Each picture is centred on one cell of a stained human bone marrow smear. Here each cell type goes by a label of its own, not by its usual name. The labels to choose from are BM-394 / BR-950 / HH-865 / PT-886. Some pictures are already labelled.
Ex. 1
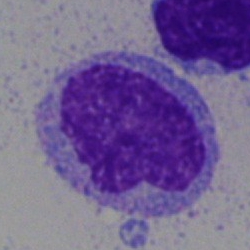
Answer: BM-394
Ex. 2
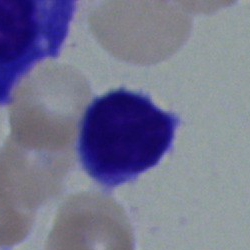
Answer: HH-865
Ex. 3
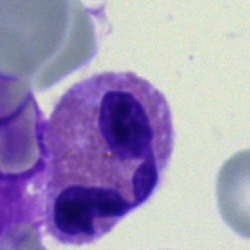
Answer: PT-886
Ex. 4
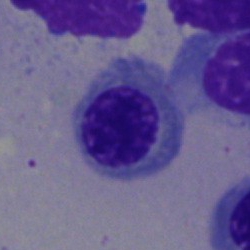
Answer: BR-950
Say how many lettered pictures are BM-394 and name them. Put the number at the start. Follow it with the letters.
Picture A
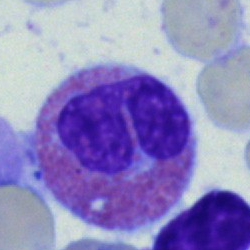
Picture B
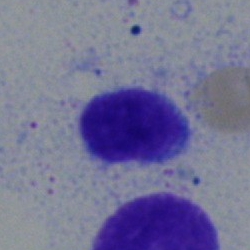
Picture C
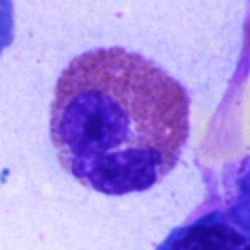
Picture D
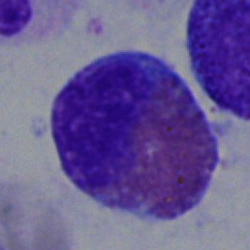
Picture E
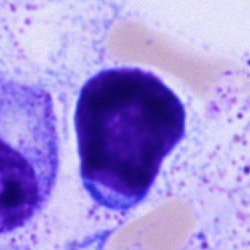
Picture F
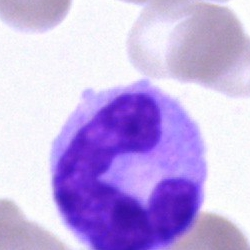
1: F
